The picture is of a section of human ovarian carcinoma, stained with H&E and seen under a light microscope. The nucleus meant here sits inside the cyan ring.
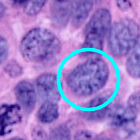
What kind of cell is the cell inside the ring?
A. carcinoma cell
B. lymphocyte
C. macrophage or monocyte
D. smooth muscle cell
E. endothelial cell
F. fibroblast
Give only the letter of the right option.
A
